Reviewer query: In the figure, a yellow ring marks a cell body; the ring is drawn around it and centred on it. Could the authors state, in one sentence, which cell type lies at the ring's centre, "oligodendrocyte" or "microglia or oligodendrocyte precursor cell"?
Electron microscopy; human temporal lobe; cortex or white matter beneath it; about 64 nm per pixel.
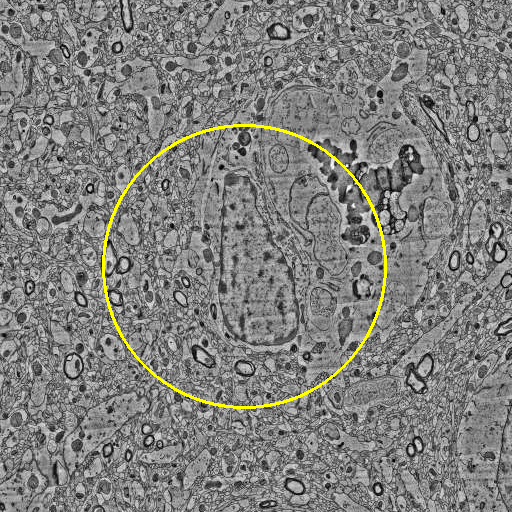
The ring is centred on a microglial cell or oligodendrocyte precursor cell.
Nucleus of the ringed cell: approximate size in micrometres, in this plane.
In this plane, about 9 by 5 micrometres: the nucleus is clearly longer than it is wide.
